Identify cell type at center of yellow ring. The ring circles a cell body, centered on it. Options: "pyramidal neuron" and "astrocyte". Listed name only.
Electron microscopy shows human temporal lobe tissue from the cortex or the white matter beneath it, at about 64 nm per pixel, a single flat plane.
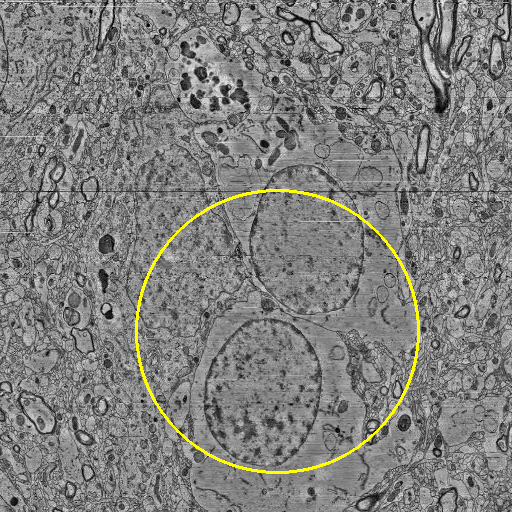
astrocyte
